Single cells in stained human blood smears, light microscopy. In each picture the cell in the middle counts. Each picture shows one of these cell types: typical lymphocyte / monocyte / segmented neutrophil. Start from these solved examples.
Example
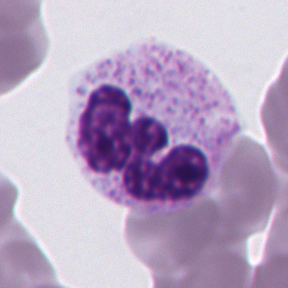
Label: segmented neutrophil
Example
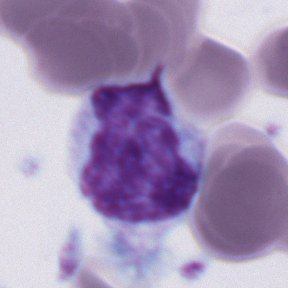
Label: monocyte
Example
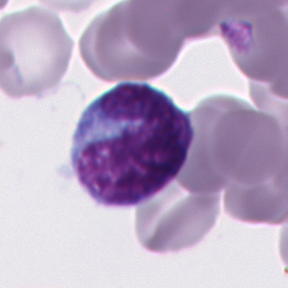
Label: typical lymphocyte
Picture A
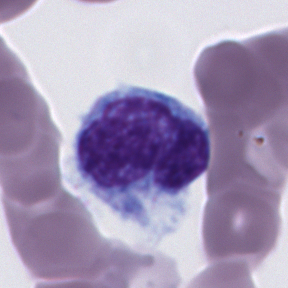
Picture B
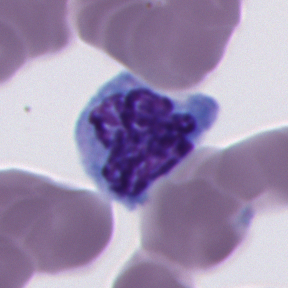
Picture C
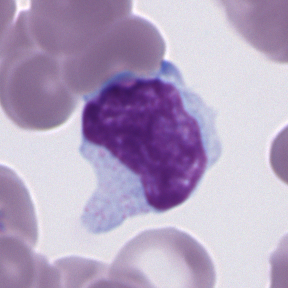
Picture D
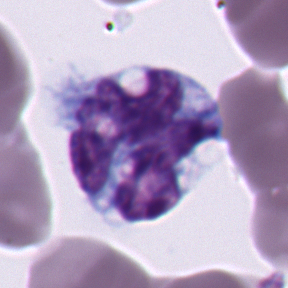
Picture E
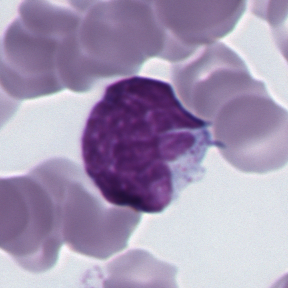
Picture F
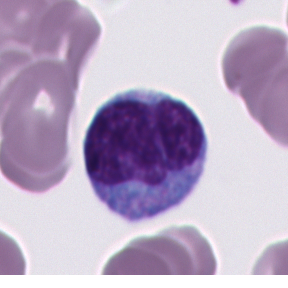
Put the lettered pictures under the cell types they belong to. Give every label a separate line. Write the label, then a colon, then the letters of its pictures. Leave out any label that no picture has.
typical lymphocyte: C, E
monocyte: A, B, D, F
